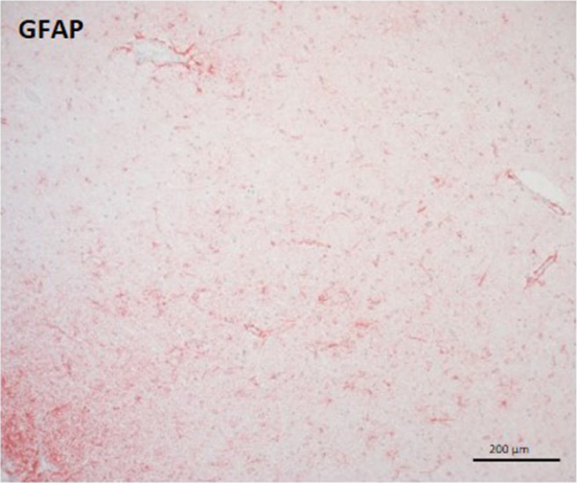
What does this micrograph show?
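Brain tissue shows many small, scattered red-stained cell profiles with fine branching processes, set in a pale, finely textured background. The stained profiles are mostly separate and spread across the field, with their thin processes extending between them. Blood vessels appear as pale clefts, and red processes line their walls, most clearly along the vessels at the top and on the right.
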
